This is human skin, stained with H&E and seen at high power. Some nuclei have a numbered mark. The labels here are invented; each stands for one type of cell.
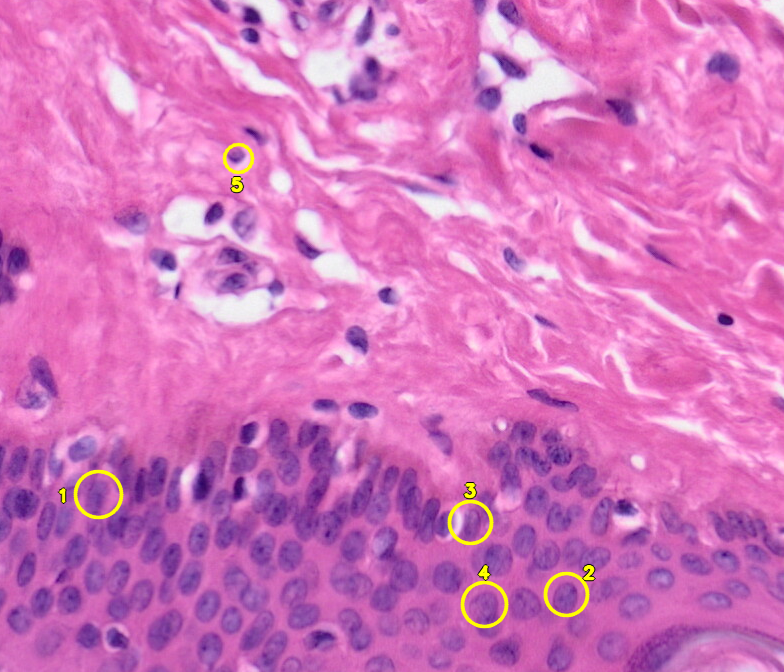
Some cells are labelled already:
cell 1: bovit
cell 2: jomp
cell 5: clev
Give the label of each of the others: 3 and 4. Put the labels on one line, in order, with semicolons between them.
bovit; jomp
